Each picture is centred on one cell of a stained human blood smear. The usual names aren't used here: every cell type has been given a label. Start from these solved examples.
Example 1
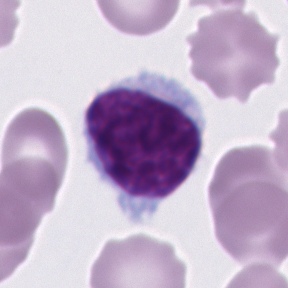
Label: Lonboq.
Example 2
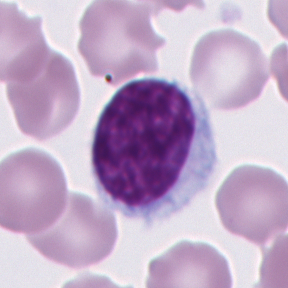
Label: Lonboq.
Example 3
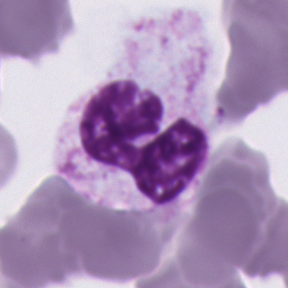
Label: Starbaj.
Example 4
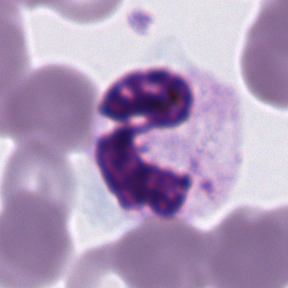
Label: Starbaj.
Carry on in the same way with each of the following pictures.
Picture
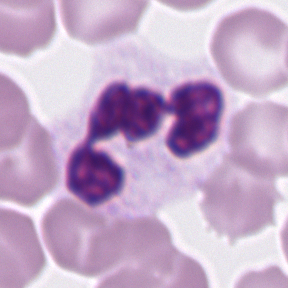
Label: Starbaj.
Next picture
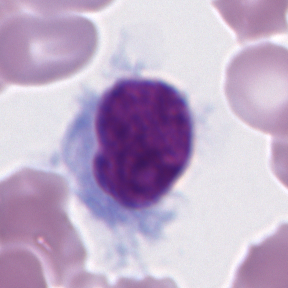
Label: Lonboq.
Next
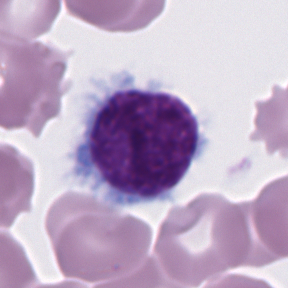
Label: Lonboq.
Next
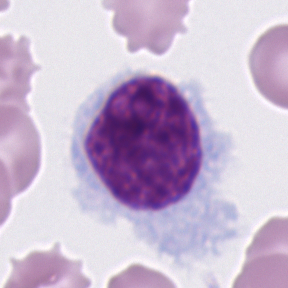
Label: Lonboq.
